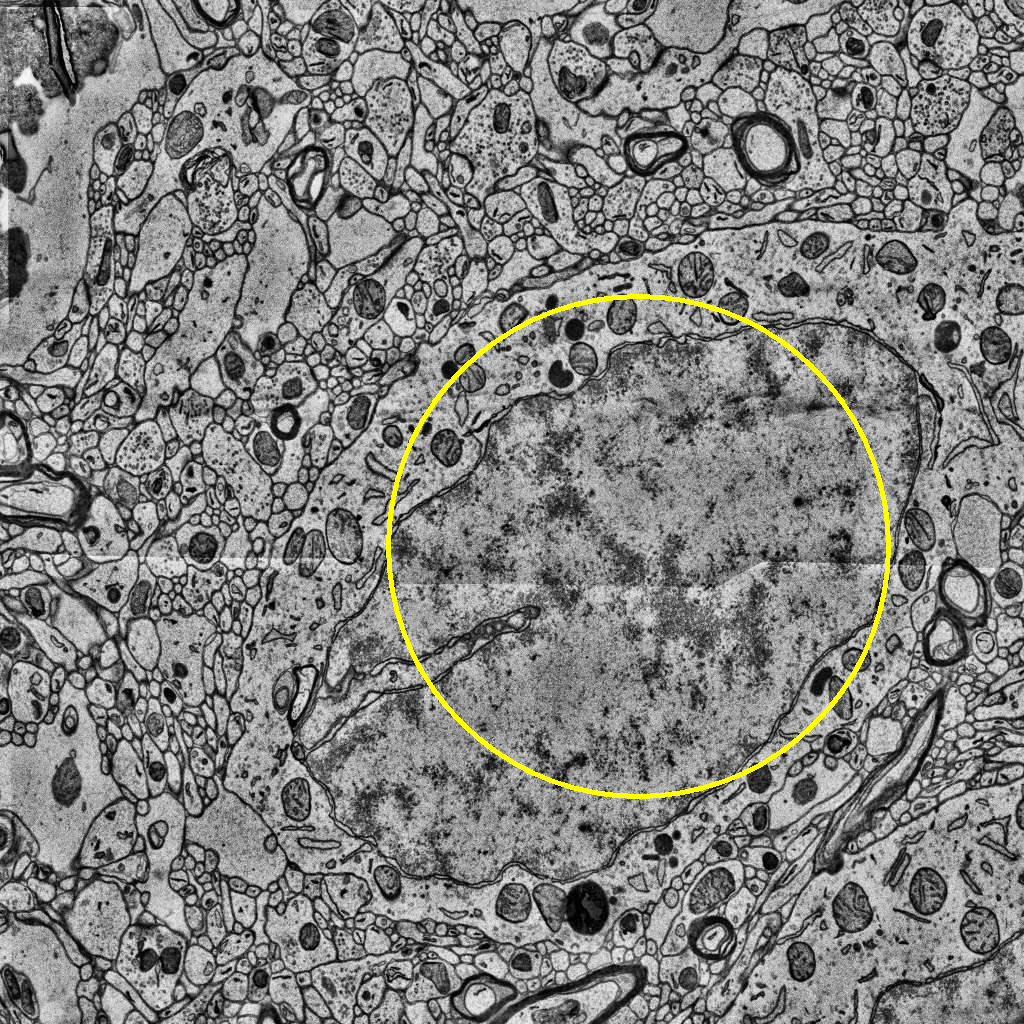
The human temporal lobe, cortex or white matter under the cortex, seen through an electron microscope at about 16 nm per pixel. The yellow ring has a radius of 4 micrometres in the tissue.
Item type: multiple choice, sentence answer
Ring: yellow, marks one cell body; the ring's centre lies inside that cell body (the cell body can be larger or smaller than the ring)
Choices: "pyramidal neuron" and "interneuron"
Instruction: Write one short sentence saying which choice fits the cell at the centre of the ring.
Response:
The centre of this ring lies on an interneuron.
